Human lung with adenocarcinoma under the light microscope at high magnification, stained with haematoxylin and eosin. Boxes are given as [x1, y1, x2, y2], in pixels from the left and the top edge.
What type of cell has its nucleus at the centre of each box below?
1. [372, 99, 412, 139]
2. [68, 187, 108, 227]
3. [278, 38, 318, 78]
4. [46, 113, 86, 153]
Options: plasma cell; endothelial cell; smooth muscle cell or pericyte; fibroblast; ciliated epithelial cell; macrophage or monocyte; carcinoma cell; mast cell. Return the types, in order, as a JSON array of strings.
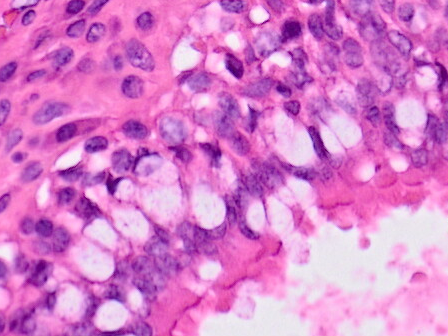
["ciliated epithelial cell", "ciliated epithelial cell", "ciliated epithelial cell", "plasma cell"]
